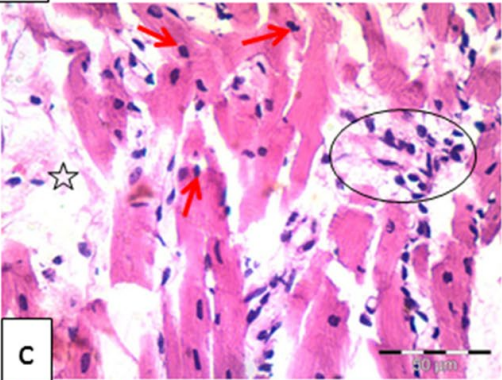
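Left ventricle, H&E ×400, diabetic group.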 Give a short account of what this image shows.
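The cardiac muscle fibers here are disorganized, broken into fragments of unequal size and shape, and separated by wide pale spaces with wispy material. The pink cytoplasm looks homogeneous without clear striations. Some nuclei within fibers look small and dark. Between fibers, in one area, many small dark nuclei crowd together, an inflammatory cellular infiltrate, and numerous elongated dark nuclei lie scattered in the interstitium. Overall this is damaged myocardium with fiber loss, loss of striation, nuclear changes and interstitial cellular infiltration.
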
